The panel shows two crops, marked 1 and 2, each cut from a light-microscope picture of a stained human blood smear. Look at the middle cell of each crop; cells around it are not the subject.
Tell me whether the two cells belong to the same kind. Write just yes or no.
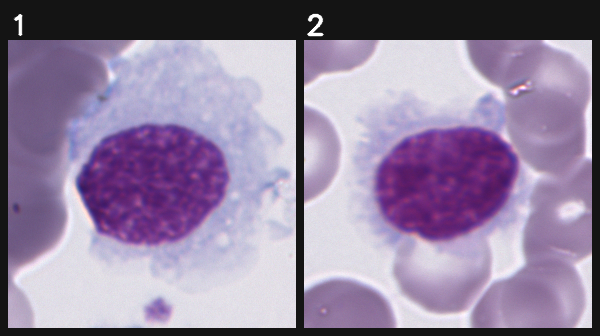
yes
